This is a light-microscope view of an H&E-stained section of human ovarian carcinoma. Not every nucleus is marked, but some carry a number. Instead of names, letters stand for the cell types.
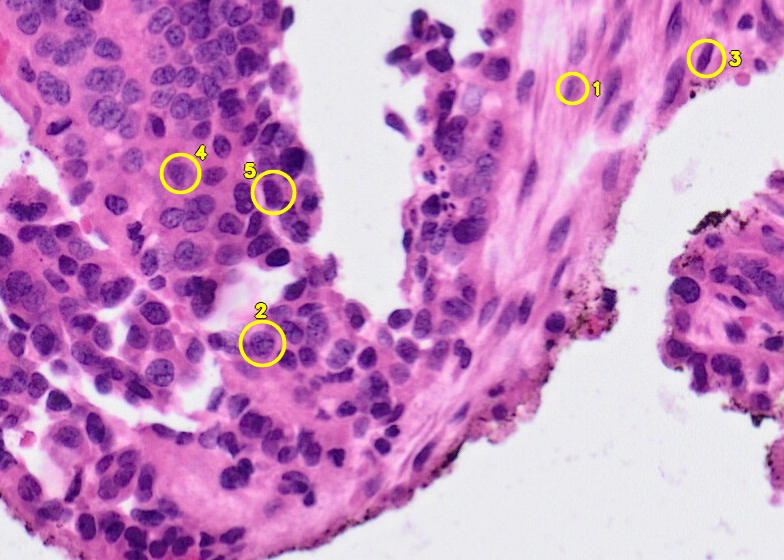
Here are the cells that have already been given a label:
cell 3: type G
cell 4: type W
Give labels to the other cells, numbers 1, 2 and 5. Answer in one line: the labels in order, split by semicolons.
type G; type W; type W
